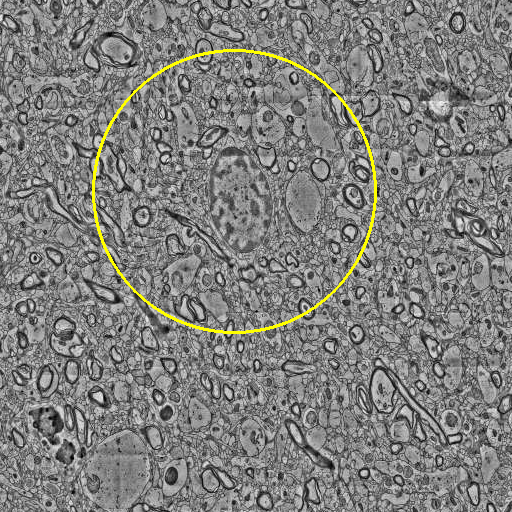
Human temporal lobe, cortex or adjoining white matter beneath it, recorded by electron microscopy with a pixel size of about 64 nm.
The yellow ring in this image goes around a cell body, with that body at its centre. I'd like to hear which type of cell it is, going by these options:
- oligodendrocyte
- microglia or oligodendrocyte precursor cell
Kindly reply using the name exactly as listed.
microglia or oligodendrocyte precursor cell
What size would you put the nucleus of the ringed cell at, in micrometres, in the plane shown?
Roughly 7 by 4 micrometers, clearly longer than it is wide in this plane.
